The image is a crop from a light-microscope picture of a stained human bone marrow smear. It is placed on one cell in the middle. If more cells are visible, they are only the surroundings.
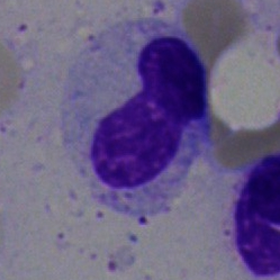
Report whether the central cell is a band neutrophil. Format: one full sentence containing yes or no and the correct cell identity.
Yes, the centre of the crop holds a band neutrophil.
